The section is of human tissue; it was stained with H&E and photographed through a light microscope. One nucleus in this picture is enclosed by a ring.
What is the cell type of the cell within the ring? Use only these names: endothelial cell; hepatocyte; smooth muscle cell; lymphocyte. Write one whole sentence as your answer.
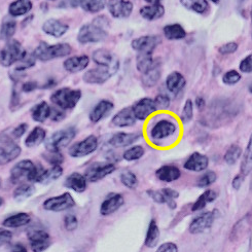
In the tissue at hand, the cell within the ring is a lymphocyte.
